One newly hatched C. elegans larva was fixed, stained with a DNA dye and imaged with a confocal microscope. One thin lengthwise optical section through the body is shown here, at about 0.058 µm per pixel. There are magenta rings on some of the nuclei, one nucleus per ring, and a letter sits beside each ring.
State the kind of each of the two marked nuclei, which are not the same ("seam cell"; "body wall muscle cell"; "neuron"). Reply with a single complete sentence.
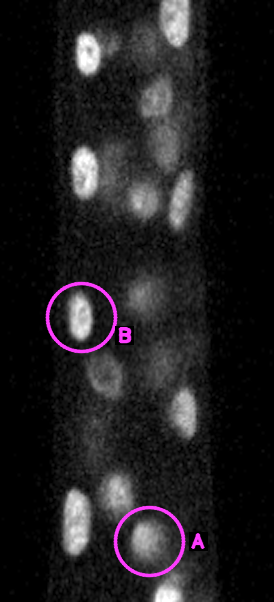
A is from a neuron, and B is from a body wall muscle cell.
